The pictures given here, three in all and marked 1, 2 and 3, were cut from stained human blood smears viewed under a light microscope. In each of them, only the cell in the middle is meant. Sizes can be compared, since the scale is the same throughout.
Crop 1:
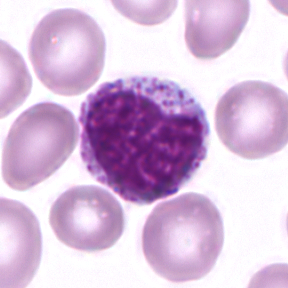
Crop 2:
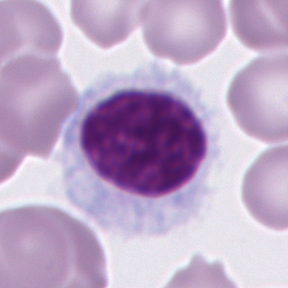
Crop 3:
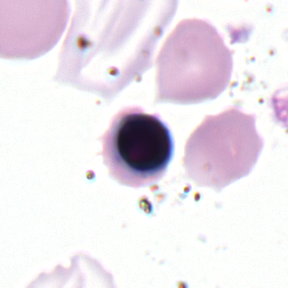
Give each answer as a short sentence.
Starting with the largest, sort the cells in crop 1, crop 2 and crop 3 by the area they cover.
Largest first: 2, 1, 3.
